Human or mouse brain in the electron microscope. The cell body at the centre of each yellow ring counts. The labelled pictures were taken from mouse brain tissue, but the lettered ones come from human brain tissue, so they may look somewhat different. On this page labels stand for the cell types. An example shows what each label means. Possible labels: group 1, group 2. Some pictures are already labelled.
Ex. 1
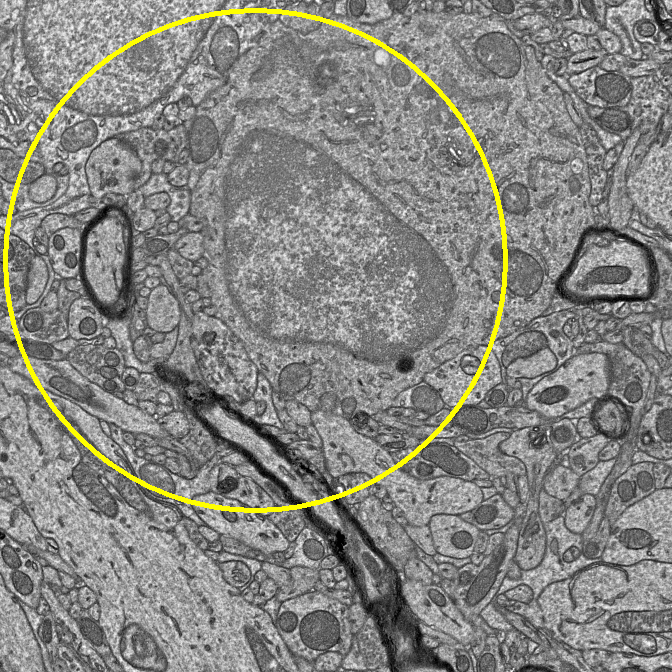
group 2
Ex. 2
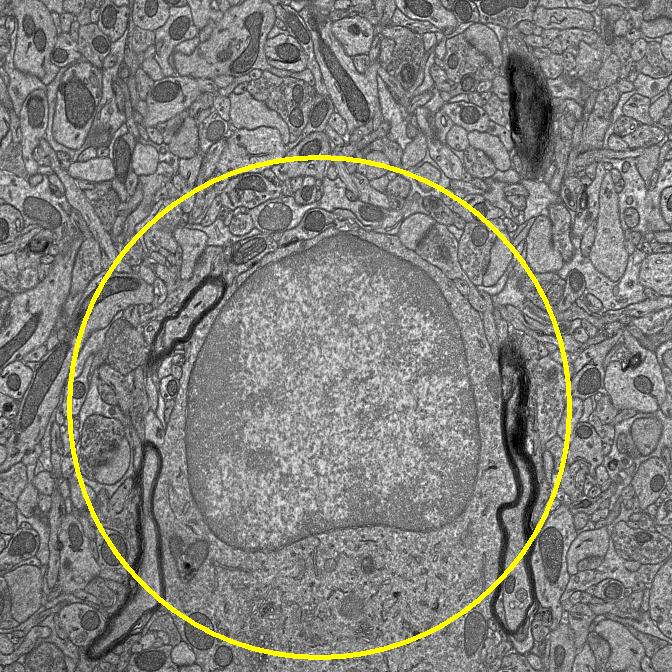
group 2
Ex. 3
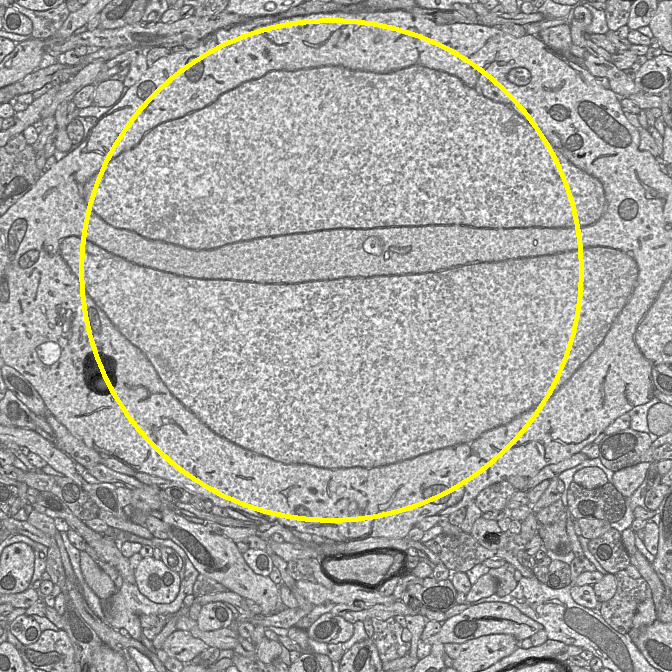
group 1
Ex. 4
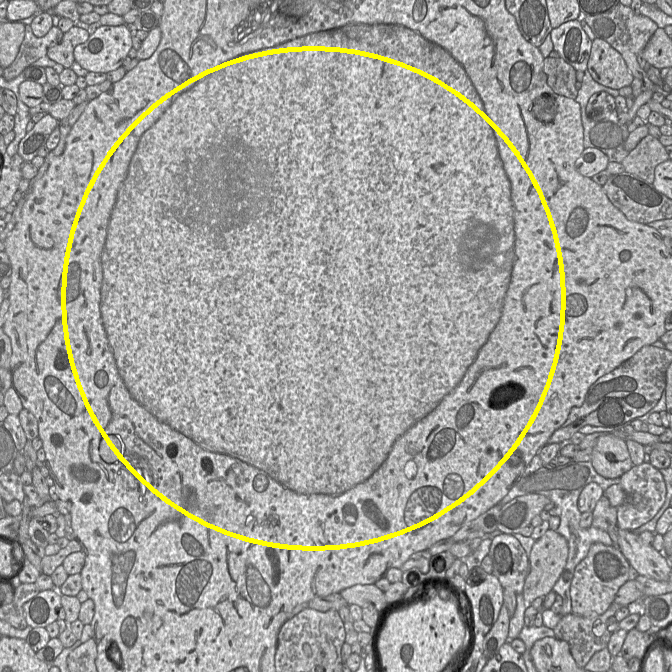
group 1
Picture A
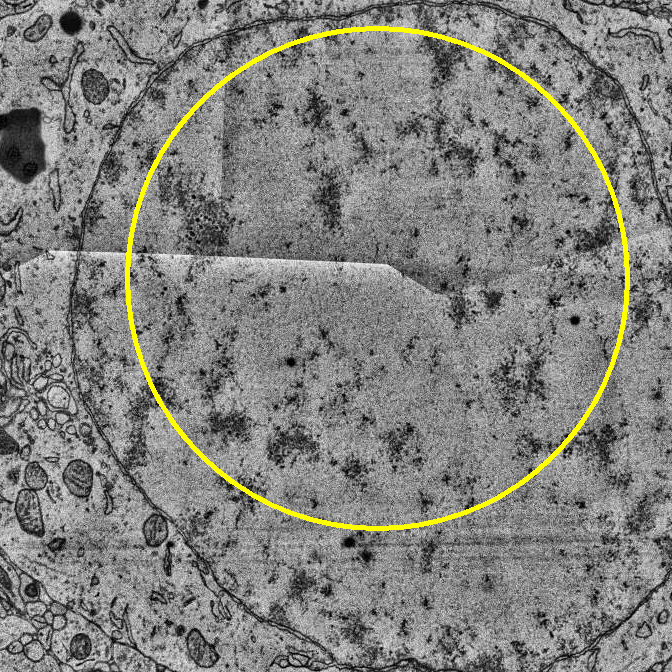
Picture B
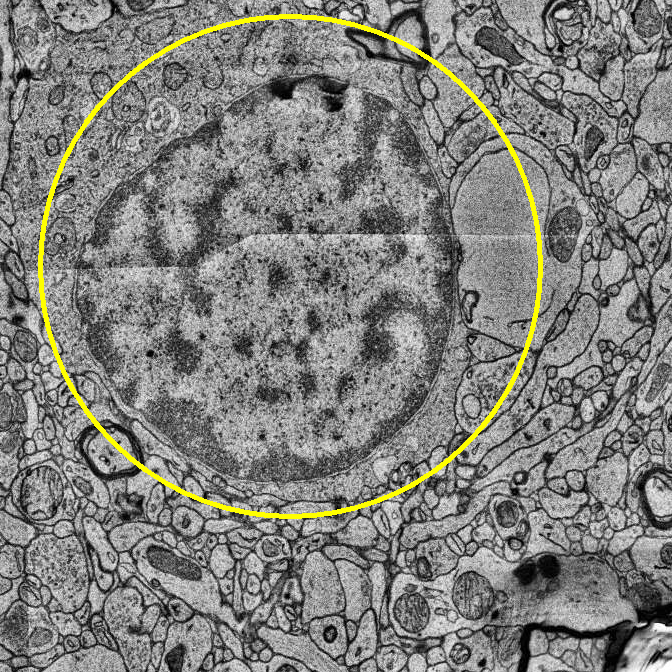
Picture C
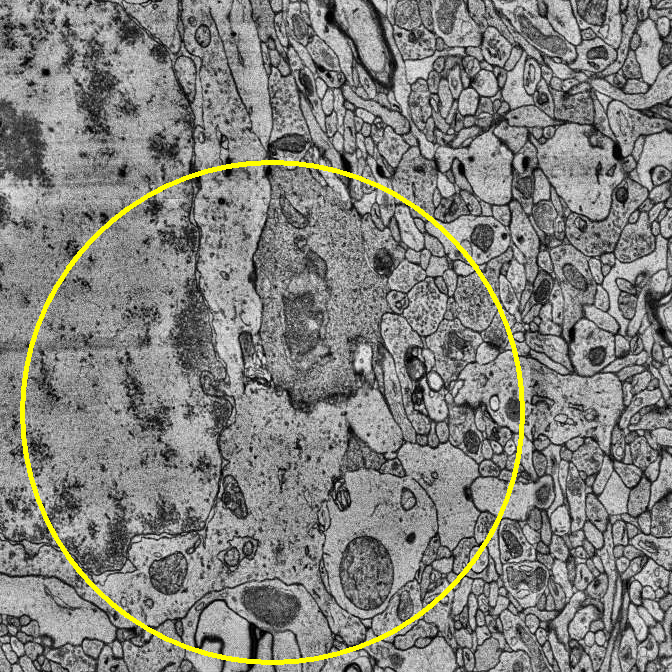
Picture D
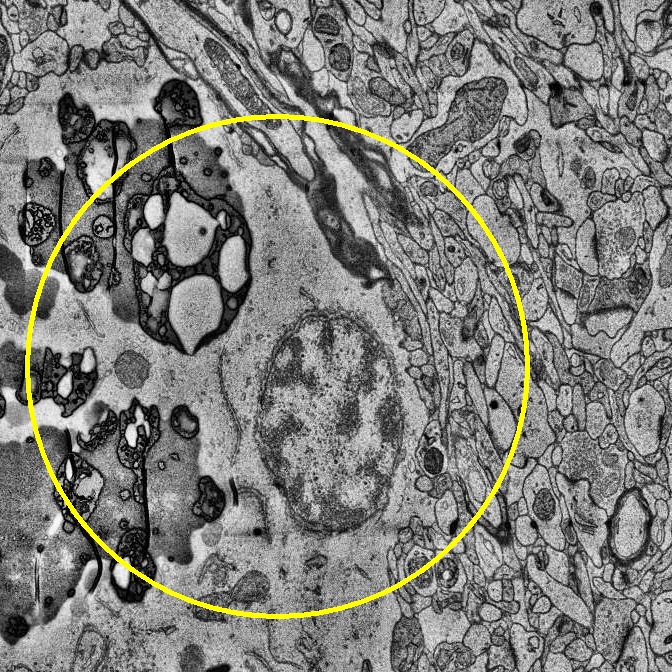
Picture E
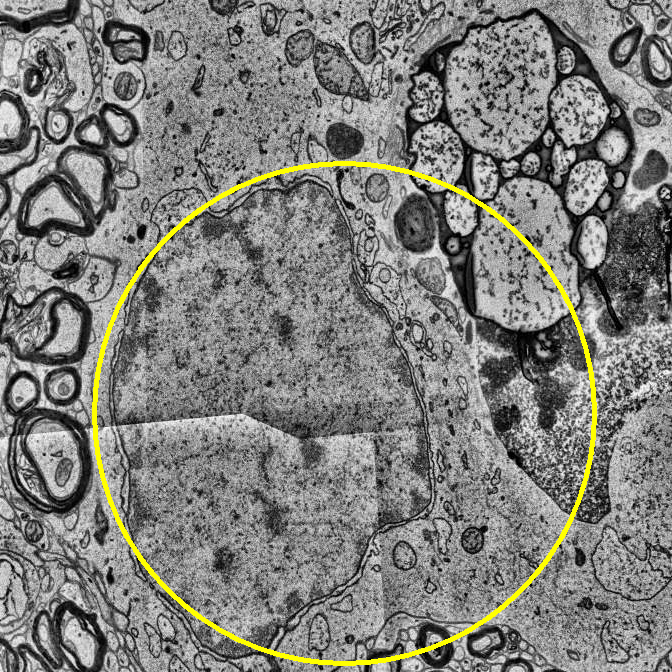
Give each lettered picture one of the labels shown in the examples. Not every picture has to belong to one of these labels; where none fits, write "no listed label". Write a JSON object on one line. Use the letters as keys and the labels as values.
{"A": "group 1", "B": "group 2", "C": "group 2", "D": "no listed label", "E": "no listed label"}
